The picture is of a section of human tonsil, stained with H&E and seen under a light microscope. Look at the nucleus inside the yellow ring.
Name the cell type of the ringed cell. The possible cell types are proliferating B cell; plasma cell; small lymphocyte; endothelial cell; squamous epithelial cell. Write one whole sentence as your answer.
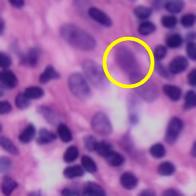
To be brief about it, the ringed cell is an endothelial cell.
